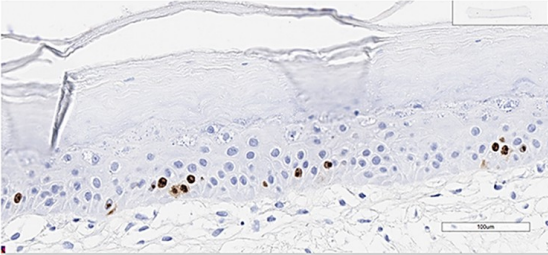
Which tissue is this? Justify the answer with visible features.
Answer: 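A stratified layer of closely packed nucleated cells lies over loose, sparsely cellular connective tissue. A thick, pale, anucleate laminated layer covers the top of the cell layers. On this evidence: epidermal layer.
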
